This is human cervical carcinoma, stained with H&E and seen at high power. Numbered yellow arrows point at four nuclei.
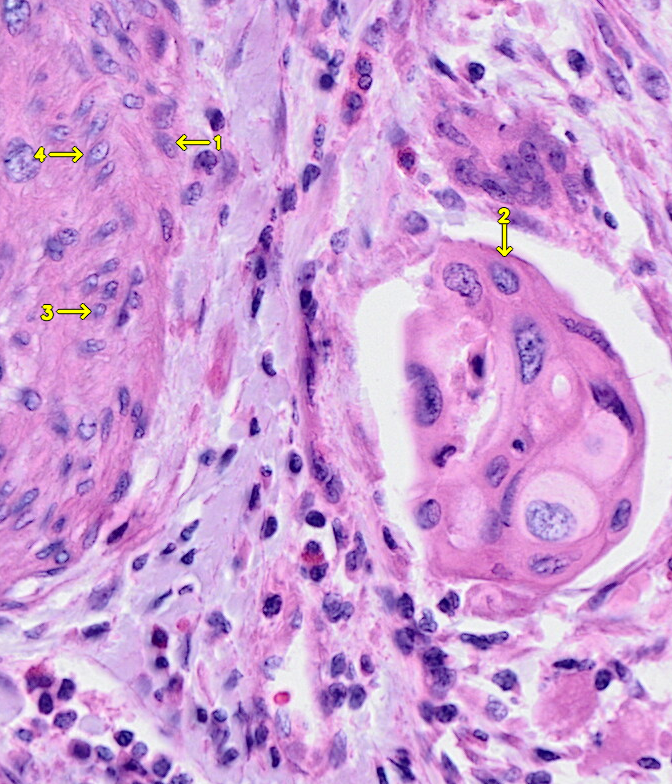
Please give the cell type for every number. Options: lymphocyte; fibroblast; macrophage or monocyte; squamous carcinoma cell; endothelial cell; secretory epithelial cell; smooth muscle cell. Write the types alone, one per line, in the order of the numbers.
smooth muscle cell
squamous carcinoma cell
smooth muscle cell
smooth muscle cell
